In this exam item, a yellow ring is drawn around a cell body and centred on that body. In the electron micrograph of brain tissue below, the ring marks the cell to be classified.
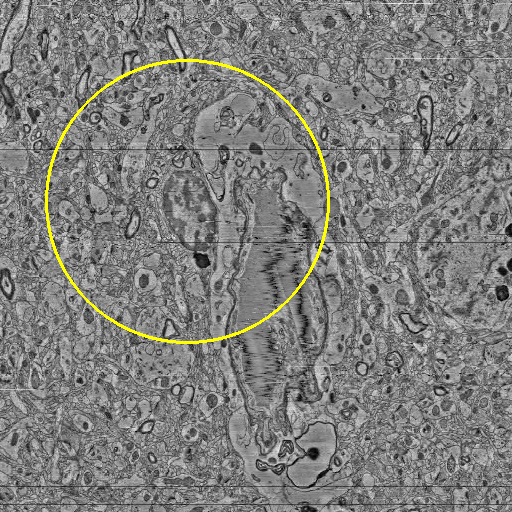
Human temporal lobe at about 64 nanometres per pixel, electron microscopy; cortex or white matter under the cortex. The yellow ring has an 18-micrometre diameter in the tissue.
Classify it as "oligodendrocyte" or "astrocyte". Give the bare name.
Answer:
oligodendrocyte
